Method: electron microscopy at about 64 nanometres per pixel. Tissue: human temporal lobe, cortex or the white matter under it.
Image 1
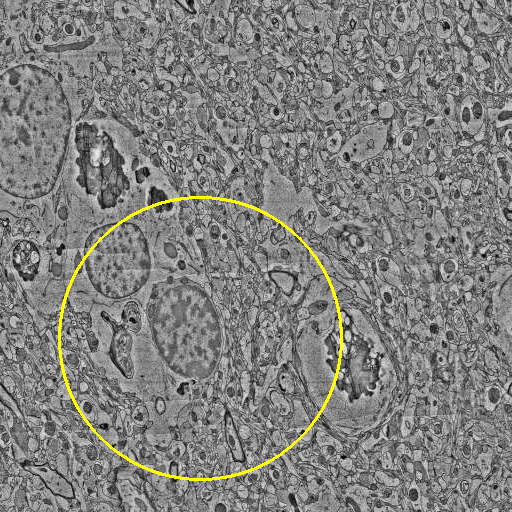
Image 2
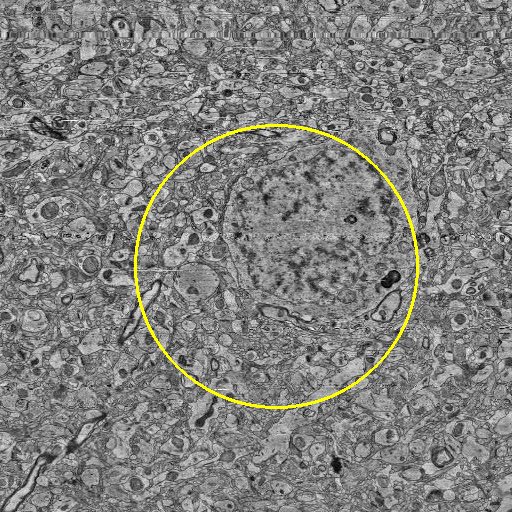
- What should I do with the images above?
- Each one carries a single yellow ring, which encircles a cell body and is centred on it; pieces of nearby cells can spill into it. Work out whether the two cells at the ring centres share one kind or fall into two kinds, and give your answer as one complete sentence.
The ring-centre cells of Image 1 and Image 2 fall into two kinds.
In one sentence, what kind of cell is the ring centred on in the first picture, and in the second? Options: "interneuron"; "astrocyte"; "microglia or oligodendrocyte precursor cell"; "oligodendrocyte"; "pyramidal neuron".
The cell at the centre of the second ring is an interneuron; the first ring's cell is an oligodendrocyte.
